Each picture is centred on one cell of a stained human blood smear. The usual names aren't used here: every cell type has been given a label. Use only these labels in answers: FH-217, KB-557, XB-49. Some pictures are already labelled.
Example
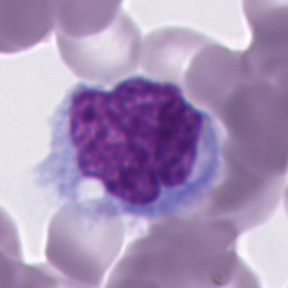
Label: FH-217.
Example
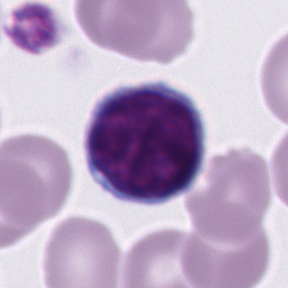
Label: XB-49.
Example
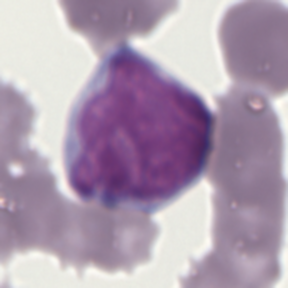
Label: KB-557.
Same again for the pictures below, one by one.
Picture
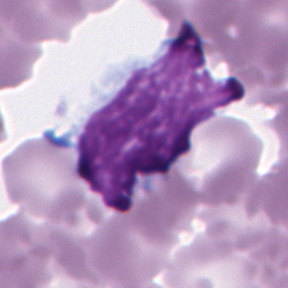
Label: XB-49.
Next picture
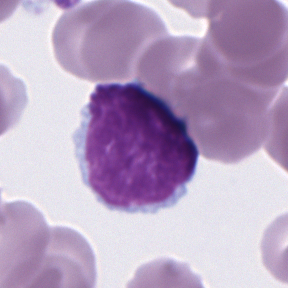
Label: XB-49.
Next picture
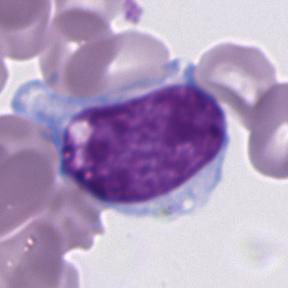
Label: KB-557.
